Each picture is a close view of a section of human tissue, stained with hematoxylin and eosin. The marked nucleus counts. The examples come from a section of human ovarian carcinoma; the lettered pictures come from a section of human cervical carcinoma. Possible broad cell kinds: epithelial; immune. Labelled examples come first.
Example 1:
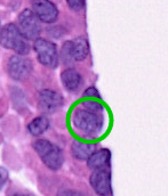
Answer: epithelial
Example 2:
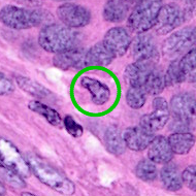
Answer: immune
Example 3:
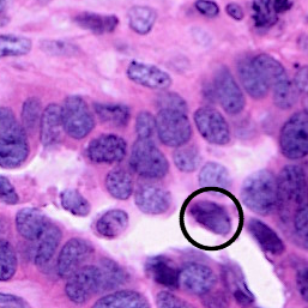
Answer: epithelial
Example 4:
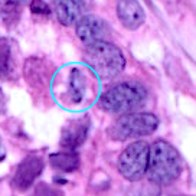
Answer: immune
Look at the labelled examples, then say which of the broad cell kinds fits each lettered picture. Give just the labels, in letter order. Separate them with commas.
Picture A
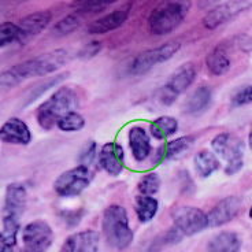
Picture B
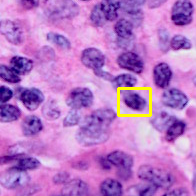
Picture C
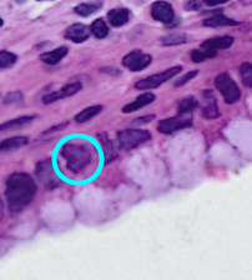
immune, immune, epithelial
